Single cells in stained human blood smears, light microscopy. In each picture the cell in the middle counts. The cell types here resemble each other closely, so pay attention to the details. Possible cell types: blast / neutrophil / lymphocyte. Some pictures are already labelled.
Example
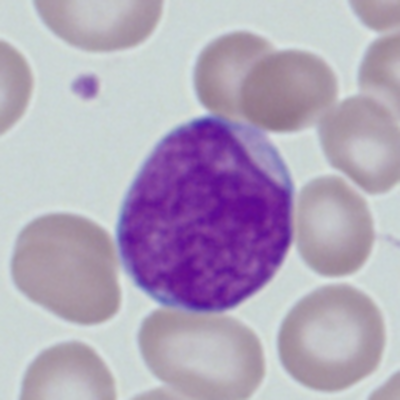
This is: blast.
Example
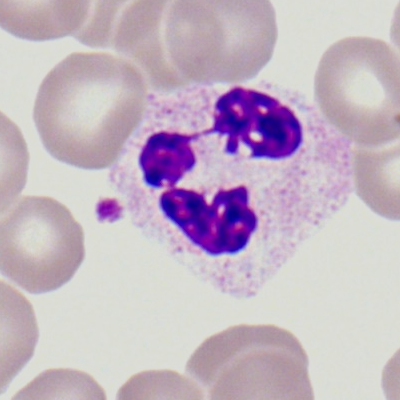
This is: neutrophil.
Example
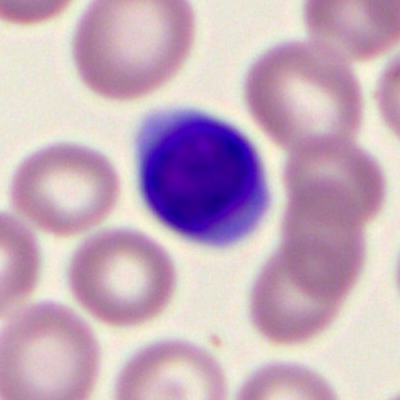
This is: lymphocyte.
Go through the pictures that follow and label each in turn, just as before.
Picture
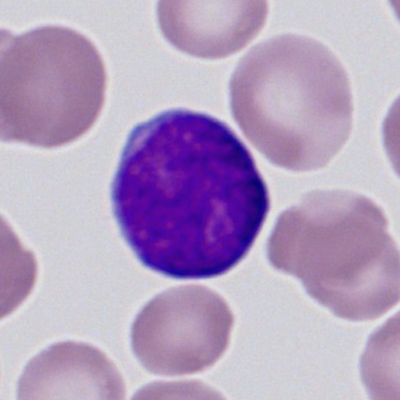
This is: lymphocyte.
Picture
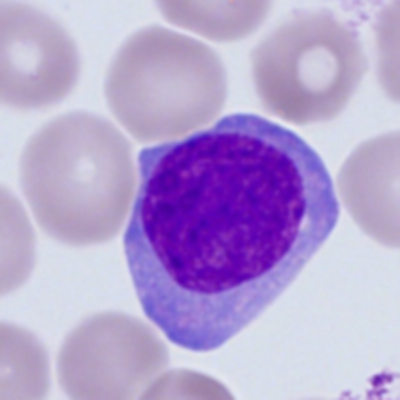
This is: blast.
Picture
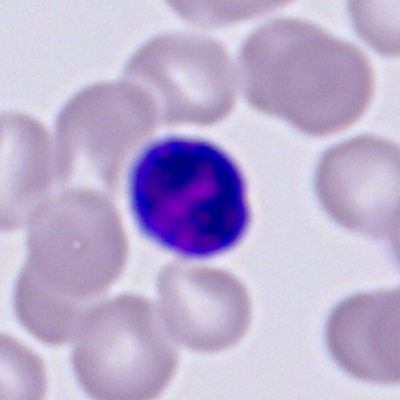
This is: lymphocyte.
